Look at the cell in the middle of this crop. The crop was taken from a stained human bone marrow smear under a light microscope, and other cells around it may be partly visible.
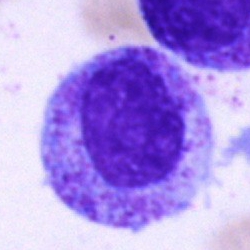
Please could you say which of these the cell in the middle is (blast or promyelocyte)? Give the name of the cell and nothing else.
promyelocyte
